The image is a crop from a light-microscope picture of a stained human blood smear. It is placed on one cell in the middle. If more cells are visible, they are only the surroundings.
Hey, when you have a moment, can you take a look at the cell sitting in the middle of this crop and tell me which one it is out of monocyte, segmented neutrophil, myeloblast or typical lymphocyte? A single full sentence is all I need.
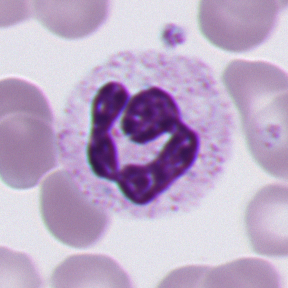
The cell shown in the center of this light-microscope crop is a segmented neutrophil.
